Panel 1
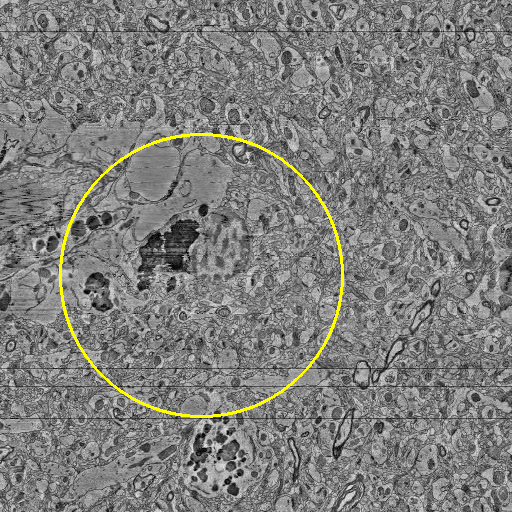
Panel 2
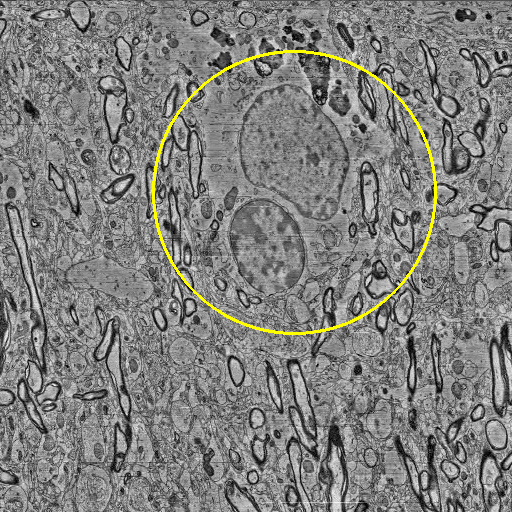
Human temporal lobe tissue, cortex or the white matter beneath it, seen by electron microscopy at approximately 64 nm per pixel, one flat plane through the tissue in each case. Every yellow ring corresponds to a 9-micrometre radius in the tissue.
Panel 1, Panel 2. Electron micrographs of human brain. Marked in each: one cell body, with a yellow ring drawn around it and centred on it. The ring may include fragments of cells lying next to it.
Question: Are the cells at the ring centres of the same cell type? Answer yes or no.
no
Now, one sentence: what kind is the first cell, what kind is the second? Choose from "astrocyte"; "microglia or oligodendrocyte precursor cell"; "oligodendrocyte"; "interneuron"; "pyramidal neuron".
The first picture has an oligodendrocyte at its ring centre, and the second has an astrocyte.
